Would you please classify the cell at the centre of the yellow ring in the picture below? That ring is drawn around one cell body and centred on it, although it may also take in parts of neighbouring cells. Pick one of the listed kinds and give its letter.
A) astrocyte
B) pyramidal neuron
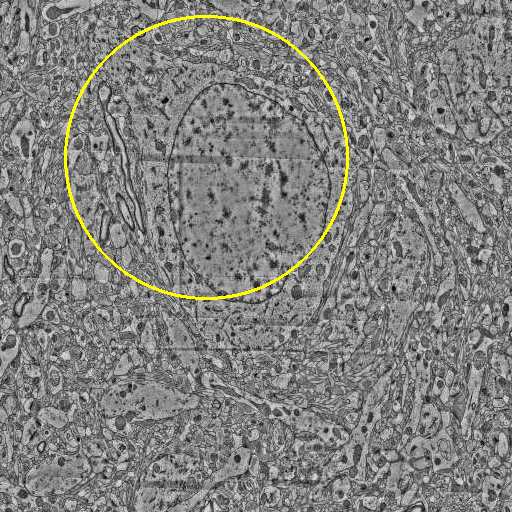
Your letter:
B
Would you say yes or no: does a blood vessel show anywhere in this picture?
No, no blood vessel shows in the picture.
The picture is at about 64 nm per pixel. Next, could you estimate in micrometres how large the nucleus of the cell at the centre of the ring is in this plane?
In this plane, roughly 14 by 10 micrometres.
